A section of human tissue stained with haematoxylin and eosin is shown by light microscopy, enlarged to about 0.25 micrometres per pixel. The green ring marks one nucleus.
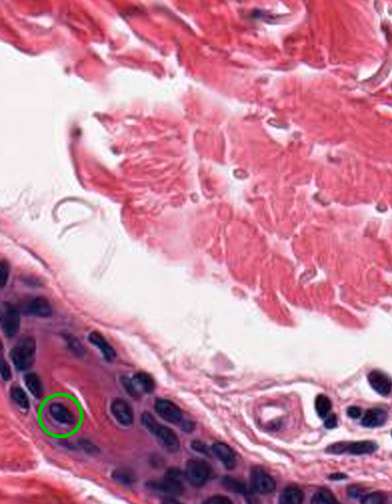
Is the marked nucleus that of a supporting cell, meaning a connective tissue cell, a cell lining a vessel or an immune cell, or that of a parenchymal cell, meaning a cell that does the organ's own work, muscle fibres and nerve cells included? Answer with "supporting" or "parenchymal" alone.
parenchymal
